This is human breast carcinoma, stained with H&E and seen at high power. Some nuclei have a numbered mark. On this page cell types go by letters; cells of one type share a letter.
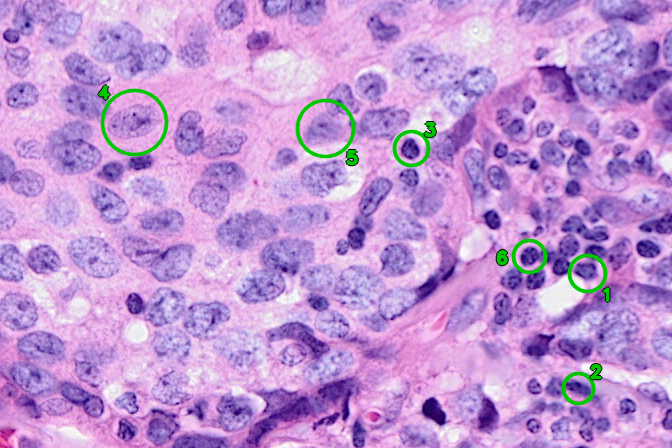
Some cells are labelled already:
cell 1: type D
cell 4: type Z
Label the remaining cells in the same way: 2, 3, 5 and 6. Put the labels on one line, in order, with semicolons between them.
type D; type D; type Z; type D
